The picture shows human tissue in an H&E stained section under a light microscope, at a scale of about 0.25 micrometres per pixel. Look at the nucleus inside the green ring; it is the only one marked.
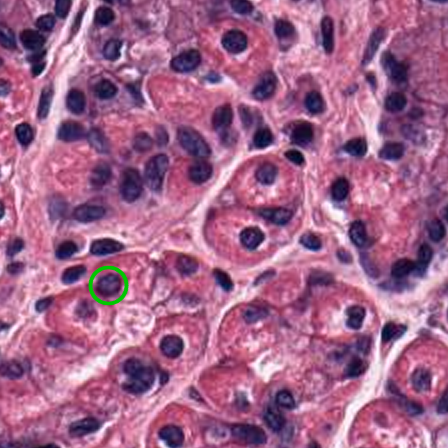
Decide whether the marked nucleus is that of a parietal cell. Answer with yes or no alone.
yes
